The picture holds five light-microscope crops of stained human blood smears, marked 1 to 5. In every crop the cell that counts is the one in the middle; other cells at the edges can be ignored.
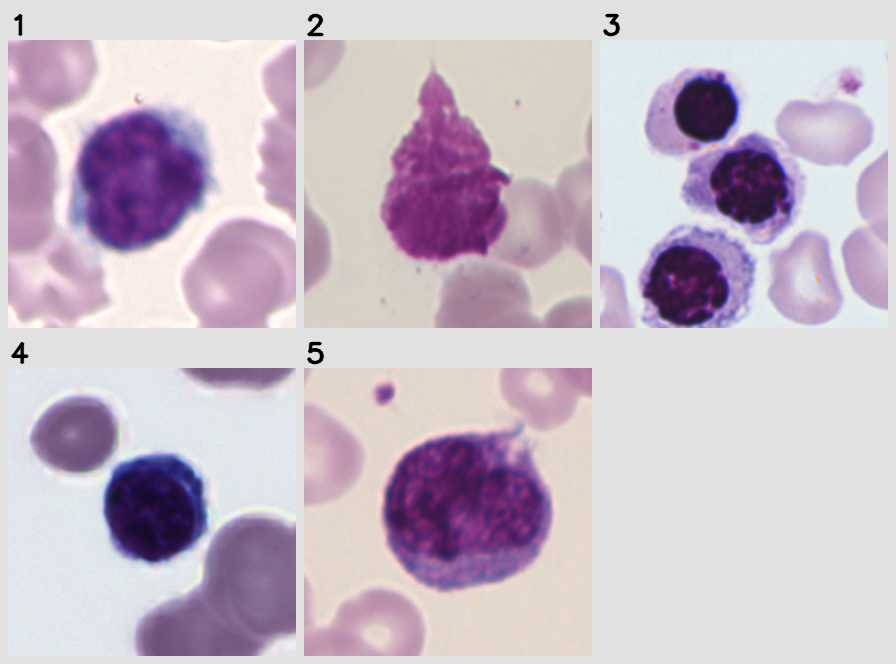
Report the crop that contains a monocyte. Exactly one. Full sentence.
The one crop that shows a monocyte is crop 5.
